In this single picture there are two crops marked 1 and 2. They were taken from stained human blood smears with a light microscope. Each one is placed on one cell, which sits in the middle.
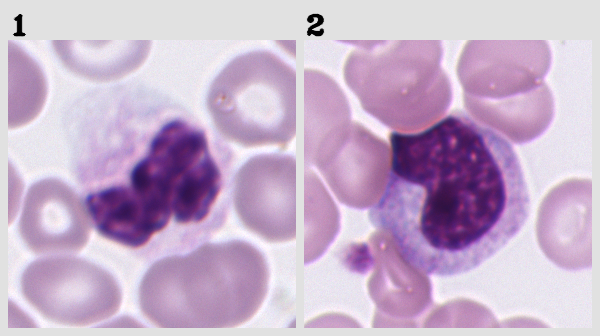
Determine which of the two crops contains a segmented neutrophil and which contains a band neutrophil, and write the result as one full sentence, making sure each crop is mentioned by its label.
Crop 2 is a band neutrophil, while crop 1 is a segmented neutrophil.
